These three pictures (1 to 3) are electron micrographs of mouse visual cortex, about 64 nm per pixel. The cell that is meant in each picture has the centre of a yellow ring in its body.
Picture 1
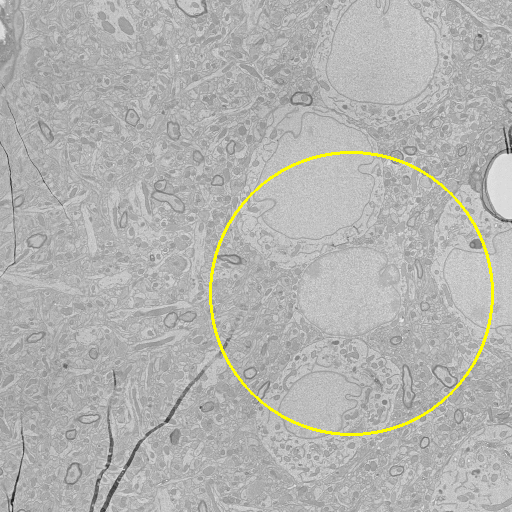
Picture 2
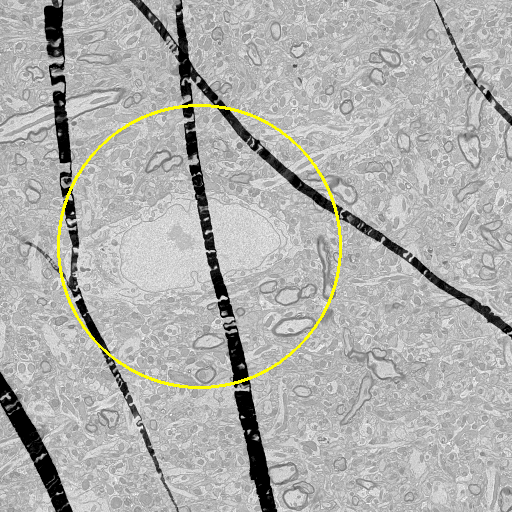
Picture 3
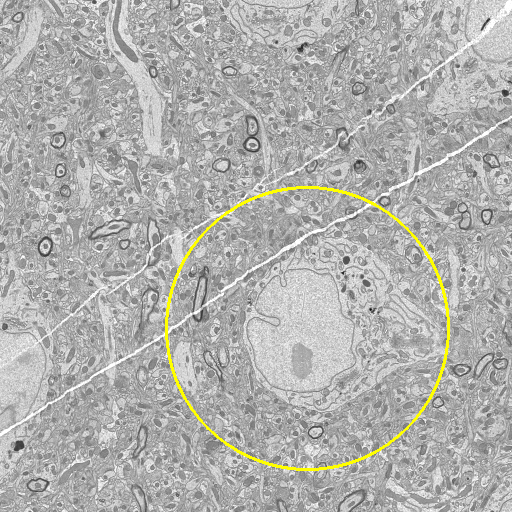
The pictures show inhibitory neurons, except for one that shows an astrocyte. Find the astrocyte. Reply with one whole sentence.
The astrocyte is the one in picture 1.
